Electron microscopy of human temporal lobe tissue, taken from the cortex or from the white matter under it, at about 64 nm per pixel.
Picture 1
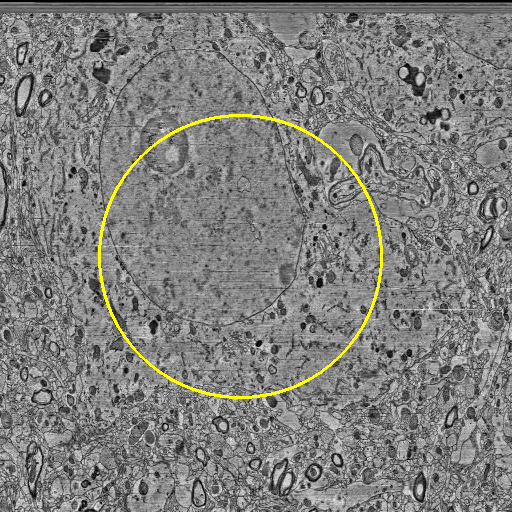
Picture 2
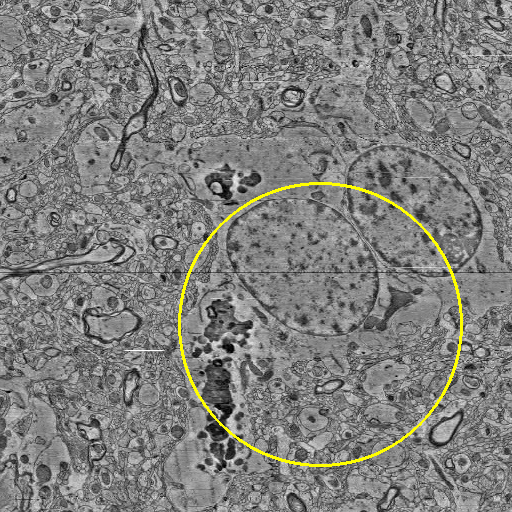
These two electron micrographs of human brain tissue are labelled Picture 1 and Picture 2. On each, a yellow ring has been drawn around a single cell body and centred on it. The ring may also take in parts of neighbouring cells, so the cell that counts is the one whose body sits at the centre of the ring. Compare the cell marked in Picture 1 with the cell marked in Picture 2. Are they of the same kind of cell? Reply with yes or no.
no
